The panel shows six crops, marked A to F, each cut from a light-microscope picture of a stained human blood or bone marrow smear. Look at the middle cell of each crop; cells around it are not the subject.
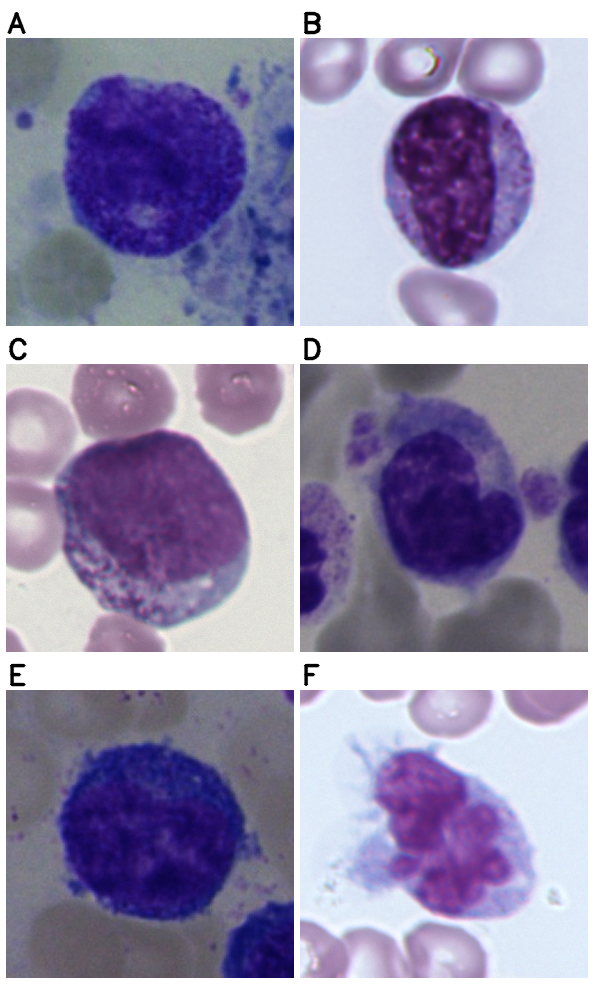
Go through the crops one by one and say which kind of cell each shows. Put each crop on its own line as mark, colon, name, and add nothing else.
A: promyelocyte
B: myelocyte
C: promyelocyte
D: monocyte
E: promyelocyte
F: monocyte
